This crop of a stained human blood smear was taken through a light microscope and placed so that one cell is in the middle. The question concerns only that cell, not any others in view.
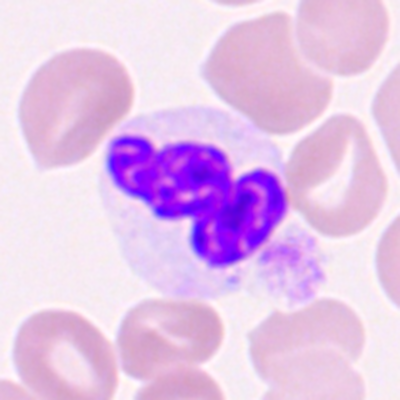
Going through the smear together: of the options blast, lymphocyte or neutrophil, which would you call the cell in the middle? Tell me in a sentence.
The cell centered in this field of view is a neutrophil.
